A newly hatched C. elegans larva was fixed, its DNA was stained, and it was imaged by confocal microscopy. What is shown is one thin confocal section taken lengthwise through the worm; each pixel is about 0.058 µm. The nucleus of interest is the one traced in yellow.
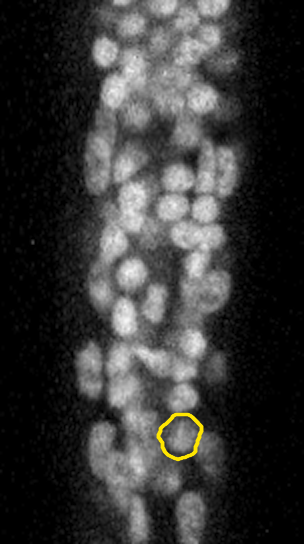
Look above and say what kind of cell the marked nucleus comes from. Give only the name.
glial cell (sheath or socket)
